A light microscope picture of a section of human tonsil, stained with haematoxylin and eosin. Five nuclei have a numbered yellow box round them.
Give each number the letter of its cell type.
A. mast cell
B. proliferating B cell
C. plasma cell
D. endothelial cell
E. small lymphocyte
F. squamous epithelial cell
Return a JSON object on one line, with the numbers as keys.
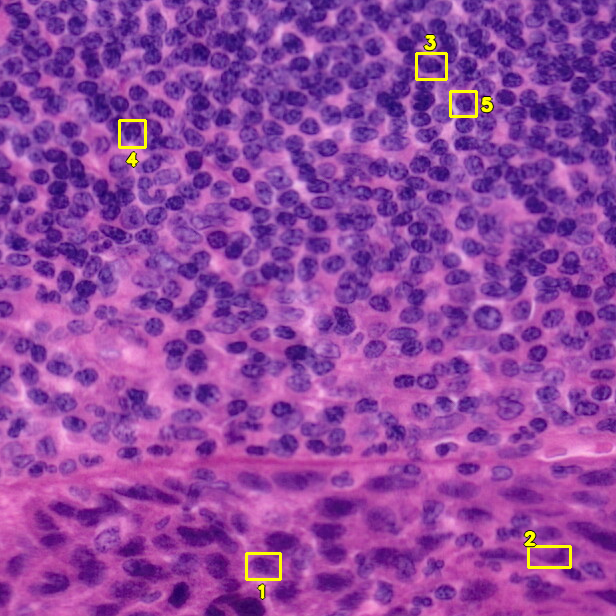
{"1": "F", "2": "F", "3": "E", "4": "E", "5": "E"}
